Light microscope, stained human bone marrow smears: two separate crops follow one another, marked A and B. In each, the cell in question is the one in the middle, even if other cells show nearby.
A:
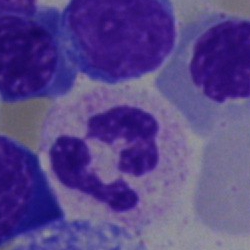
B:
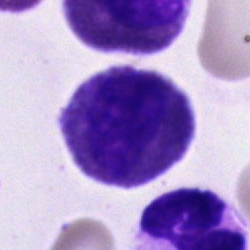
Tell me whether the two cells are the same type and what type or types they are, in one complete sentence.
No, crop A has a segmented neutrophil at its center, and crop B has an eosinophil.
